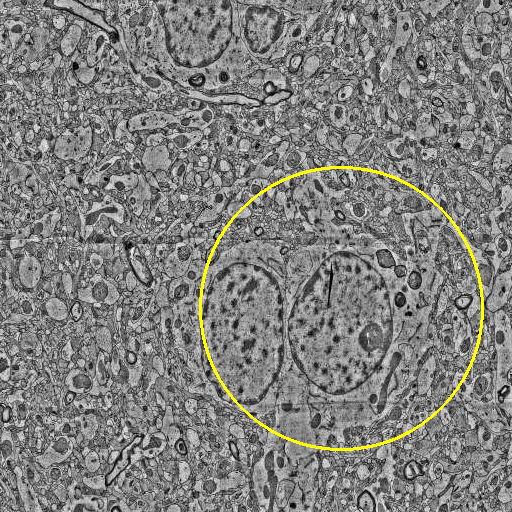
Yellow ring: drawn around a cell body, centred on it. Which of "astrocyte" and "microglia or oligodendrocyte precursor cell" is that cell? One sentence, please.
That cell body is from an astrocyte.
